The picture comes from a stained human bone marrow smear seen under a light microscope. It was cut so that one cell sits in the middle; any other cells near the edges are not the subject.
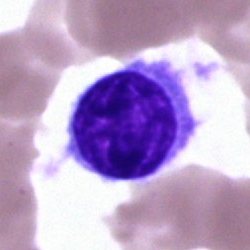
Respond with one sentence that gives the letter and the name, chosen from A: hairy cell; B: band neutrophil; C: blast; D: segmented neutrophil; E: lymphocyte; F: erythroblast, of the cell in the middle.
The cell in the center of this crop is a hairy cell, so option A is the one to pick.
